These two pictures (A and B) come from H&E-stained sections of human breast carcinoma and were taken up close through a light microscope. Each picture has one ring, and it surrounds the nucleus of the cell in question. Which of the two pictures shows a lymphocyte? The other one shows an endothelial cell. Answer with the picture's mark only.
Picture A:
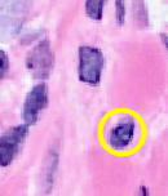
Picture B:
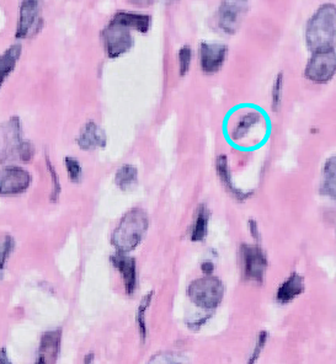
A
